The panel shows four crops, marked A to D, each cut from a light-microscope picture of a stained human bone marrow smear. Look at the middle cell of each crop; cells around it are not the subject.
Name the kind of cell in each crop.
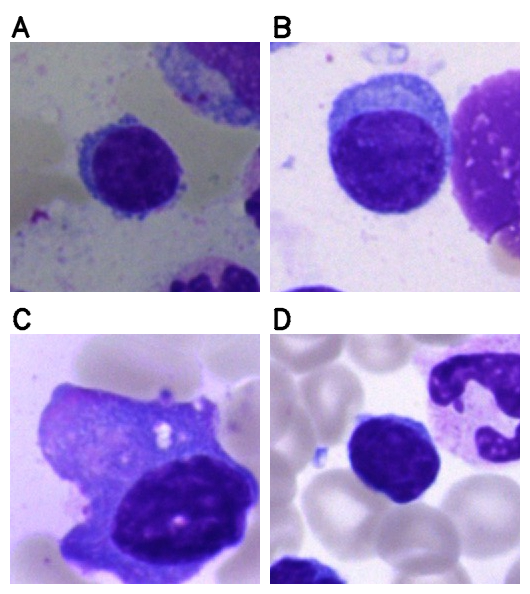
A: lymphocyte
B: plasma cell
C: plasma cell
D: lymphocyte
